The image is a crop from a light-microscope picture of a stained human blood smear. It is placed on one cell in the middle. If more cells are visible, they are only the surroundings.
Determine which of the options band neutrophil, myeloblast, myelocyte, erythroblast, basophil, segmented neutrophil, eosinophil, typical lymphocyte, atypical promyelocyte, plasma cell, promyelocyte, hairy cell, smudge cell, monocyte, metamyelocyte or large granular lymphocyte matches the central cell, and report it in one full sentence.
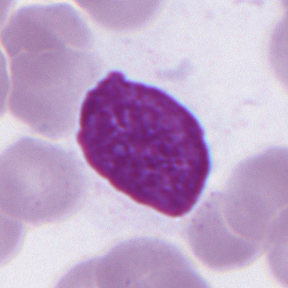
For this crop, the central cell is a smudge cell.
